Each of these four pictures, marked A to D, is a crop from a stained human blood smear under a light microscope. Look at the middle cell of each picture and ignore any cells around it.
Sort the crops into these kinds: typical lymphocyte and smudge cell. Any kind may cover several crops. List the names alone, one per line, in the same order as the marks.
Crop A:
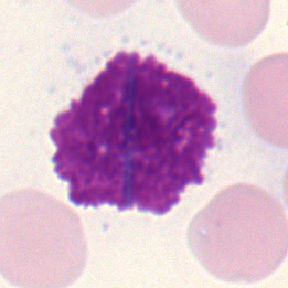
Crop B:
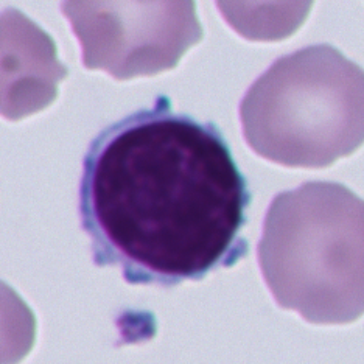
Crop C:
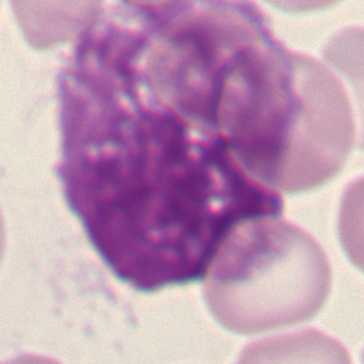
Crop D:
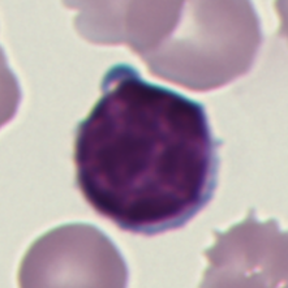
smudge cell
typical lymphocyte
smudge cell
typical lymphocyte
